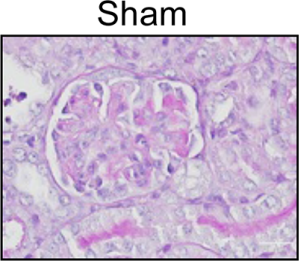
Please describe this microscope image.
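This is a section of kidney cortex centred on a single glomerulus surrounded by tubules. The glomerular tuft is round, packed with small dark purple nuclei, and contains magenta-staining material along its capillary loops and mesangial areas. A thin capsule encloses the tuft, separated from it by a narrow clear space. Around it lie tubule cross-sections lined by cuboidal epithelial cells with round pale nuclei and pale pink to lilac cytoplasm. Magenta lines mark the basement membranes and luminal borders of several tubules, most strongly along a curved tubule at the lower edge.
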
